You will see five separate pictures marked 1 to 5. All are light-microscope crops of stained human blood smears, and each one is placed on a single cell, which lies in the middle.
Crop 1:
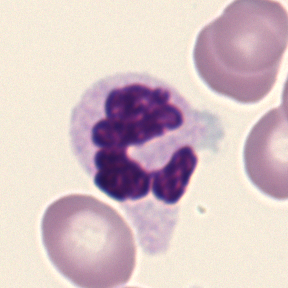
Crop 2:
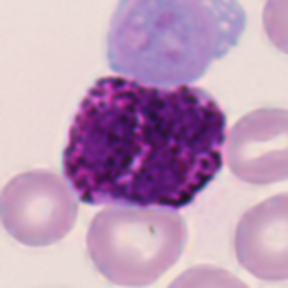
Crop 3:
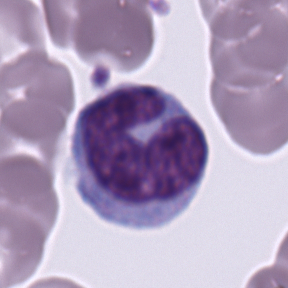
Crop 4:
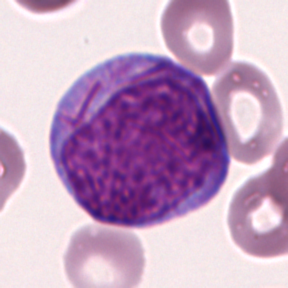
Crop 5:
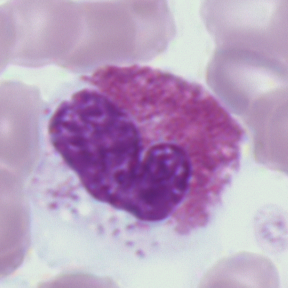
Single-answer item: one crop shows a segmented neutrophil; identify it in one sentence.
Crop 1, and no other, shows a segmented neutrophil.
